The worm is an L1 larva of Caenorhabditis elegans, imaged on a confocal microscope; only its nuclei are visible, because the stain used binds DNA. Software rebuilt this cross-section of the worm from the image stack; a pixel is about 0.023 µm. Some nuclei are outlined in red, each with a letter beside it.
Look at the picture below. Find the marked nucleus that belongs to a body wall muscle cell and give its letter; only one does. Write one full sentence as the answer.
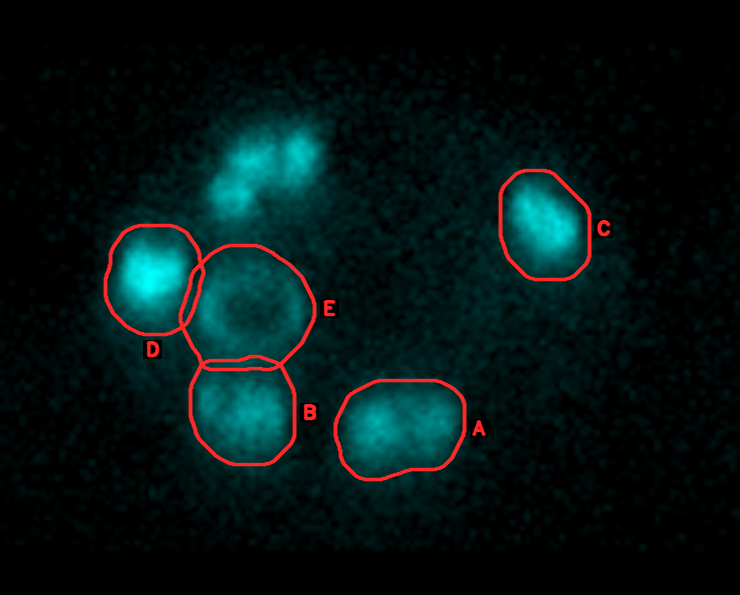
Nucleus C belongs to a body wall muscle cell.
